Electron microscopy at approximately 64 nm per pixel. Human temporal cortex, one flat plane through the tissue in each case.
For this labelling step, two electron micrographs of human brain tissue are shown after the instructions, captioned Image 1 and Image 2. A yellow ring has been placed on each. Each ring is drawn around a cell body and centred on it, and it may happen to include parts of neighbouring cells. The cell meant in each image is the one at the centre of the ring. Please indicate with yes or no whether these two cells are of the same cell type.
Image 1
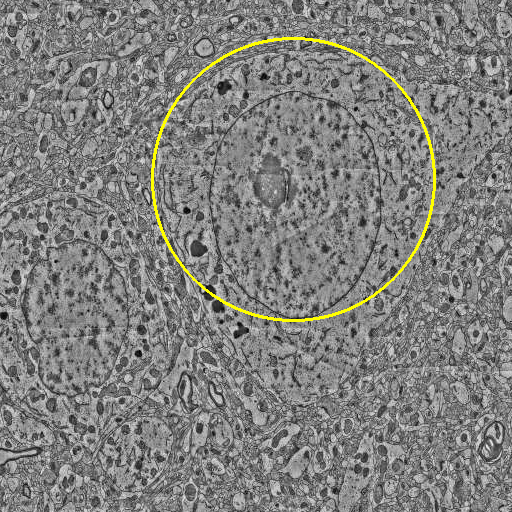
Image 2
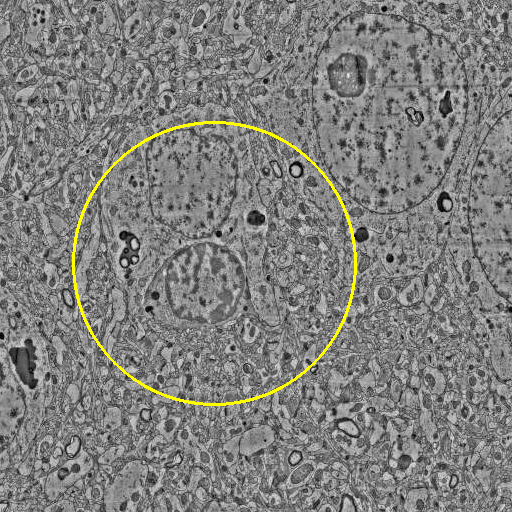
no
